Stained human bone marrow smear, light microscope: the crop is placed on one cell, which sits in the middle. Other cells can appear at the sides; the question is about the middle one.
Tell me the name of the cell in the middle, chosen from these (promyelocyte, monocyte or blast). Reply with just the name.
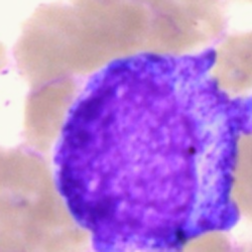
promyelocyte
